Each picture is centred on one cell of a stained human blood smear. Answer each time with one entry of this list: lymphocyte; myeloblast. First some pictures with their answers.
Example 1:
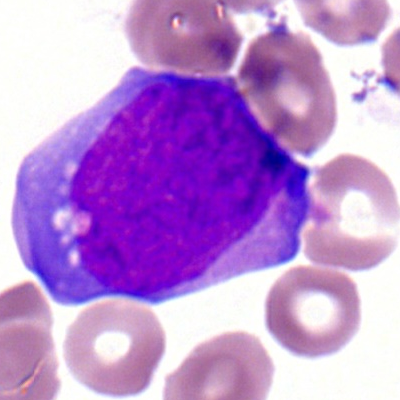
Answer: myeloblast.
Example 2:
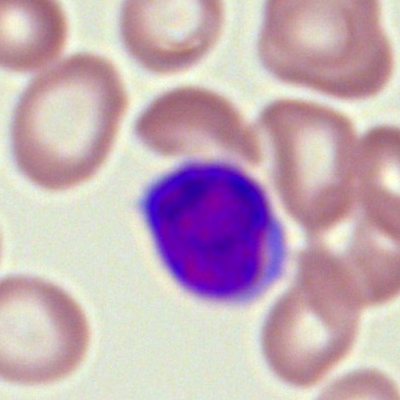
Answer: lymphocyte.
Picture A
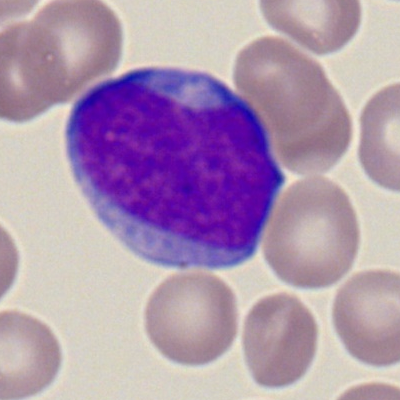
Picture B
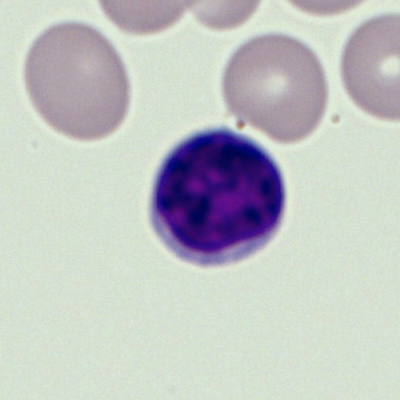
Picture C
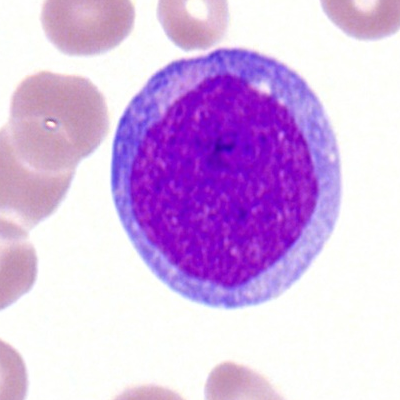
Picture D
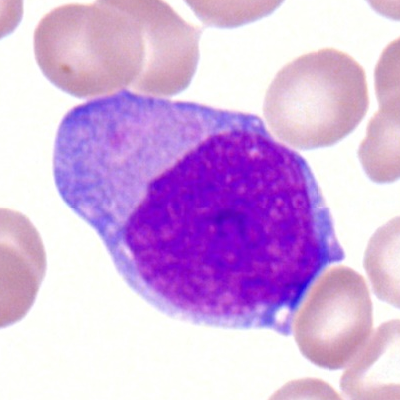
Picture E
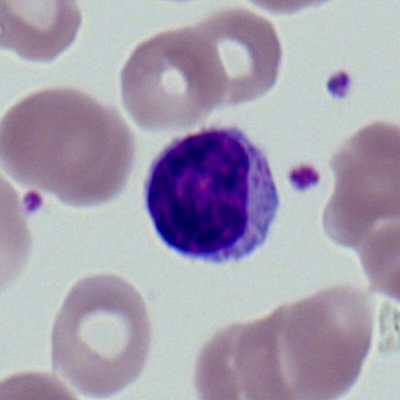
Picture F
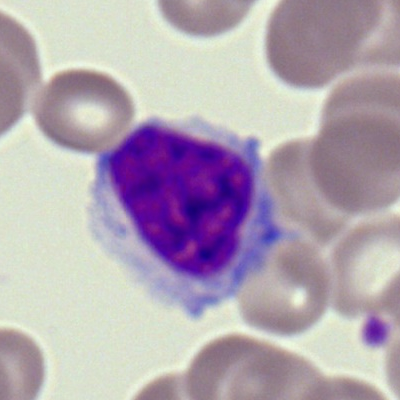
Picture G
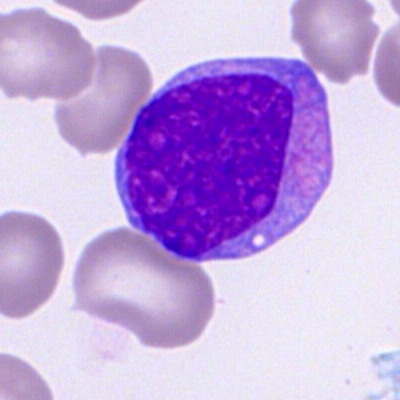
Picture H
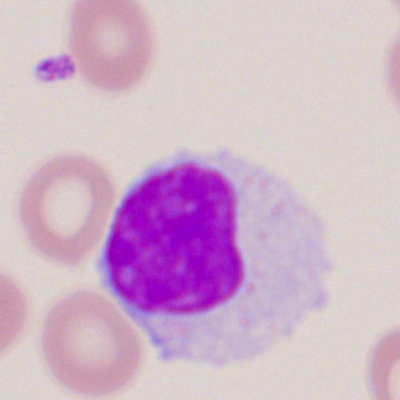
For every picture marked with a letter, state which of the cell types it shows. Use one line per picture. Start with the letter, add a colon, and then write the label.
A: myeloblast.
B: lymphocyte.
C: myeloblast.
D: myeloblast.
E: lymphocyte.
F: lymphocyte.
G: myeloblast.
H: lymphocyte.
